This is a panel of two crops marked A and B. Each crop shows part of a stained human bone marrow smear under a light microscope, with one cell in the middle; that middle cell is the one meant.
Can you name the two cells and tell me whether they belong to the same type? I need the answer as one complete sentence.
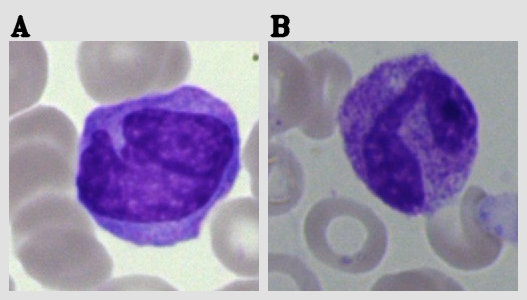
No, crop A matches a monocyte and crop B matches a segmented neutrophil.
